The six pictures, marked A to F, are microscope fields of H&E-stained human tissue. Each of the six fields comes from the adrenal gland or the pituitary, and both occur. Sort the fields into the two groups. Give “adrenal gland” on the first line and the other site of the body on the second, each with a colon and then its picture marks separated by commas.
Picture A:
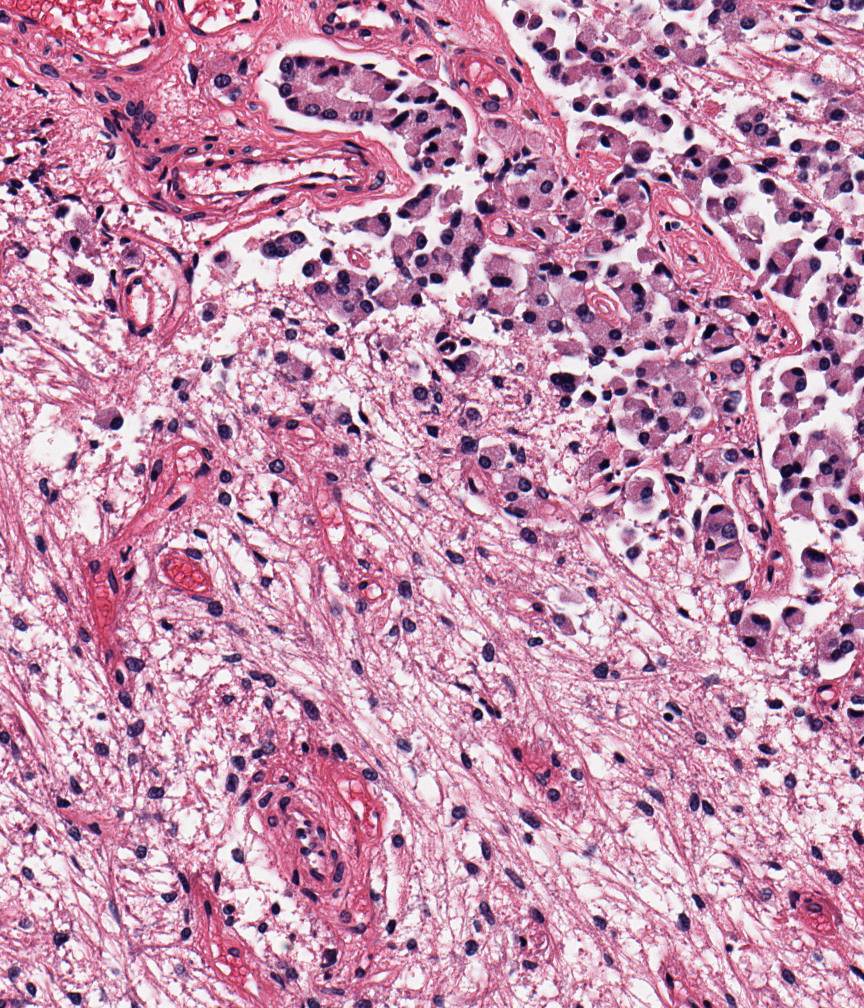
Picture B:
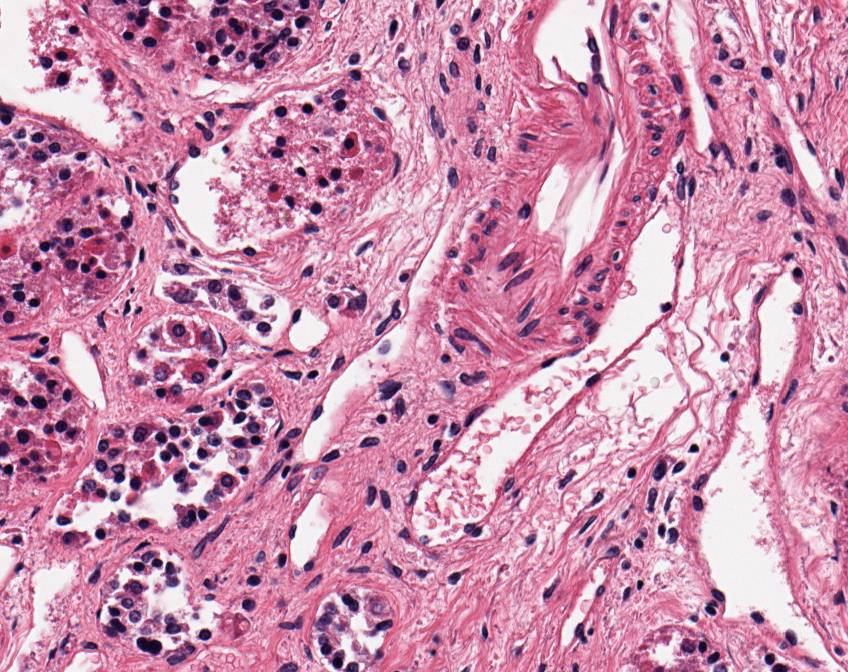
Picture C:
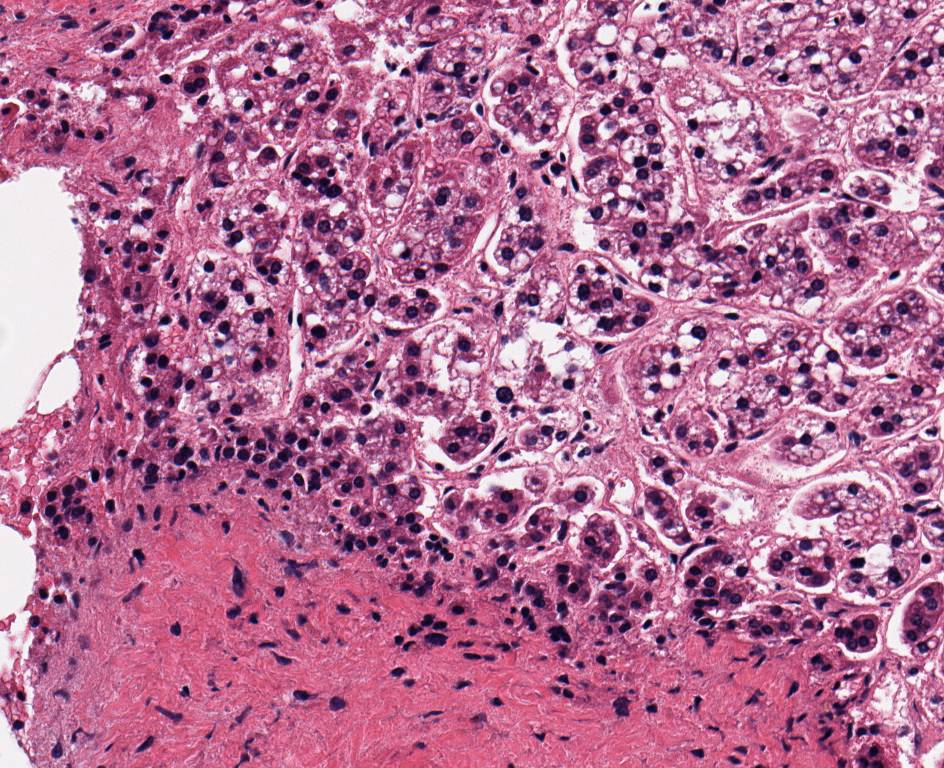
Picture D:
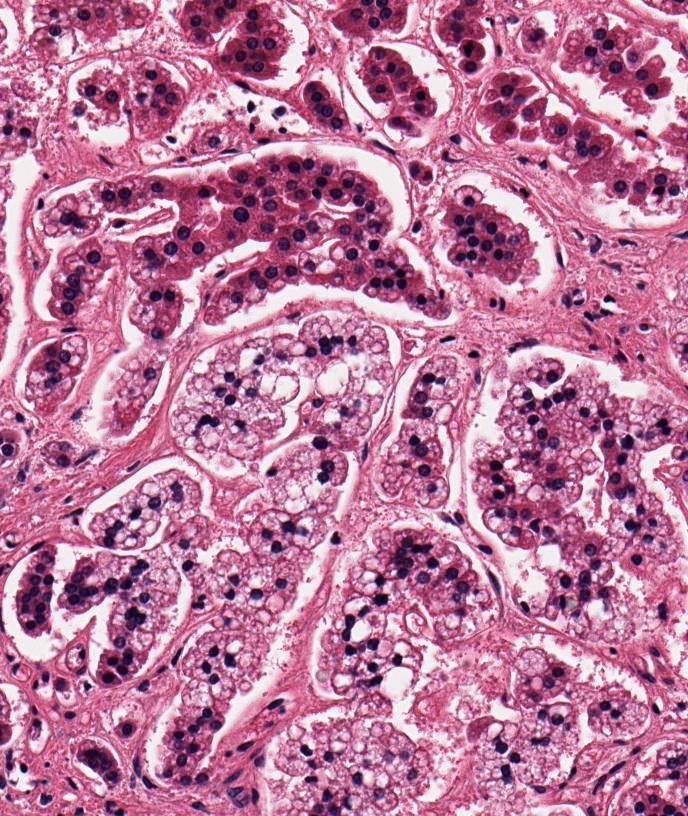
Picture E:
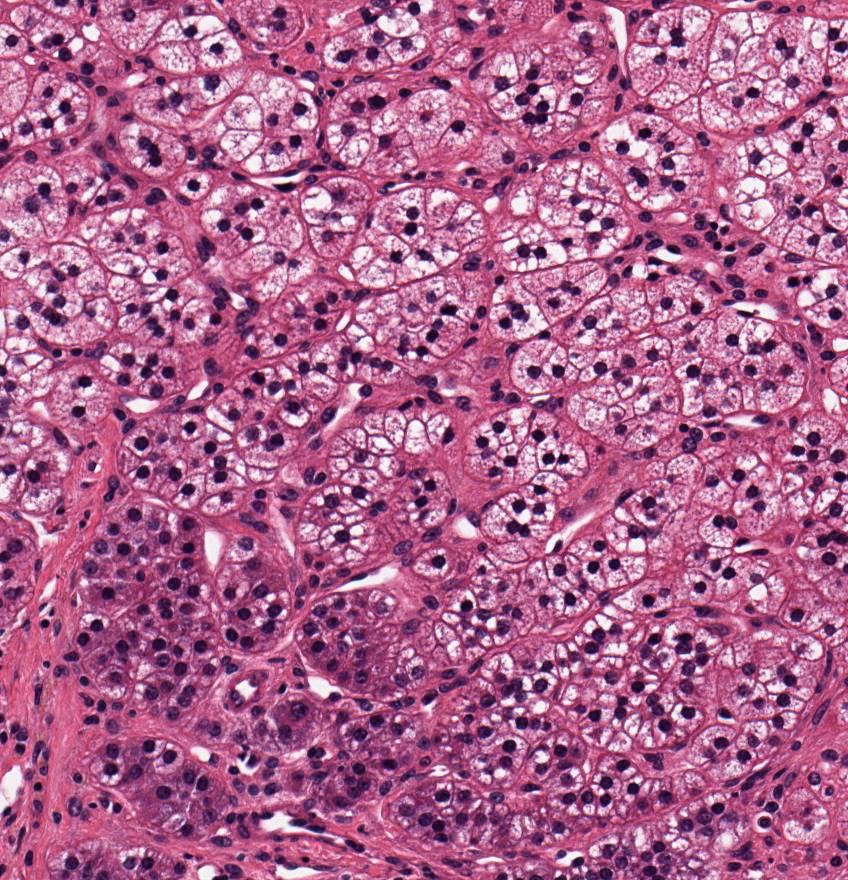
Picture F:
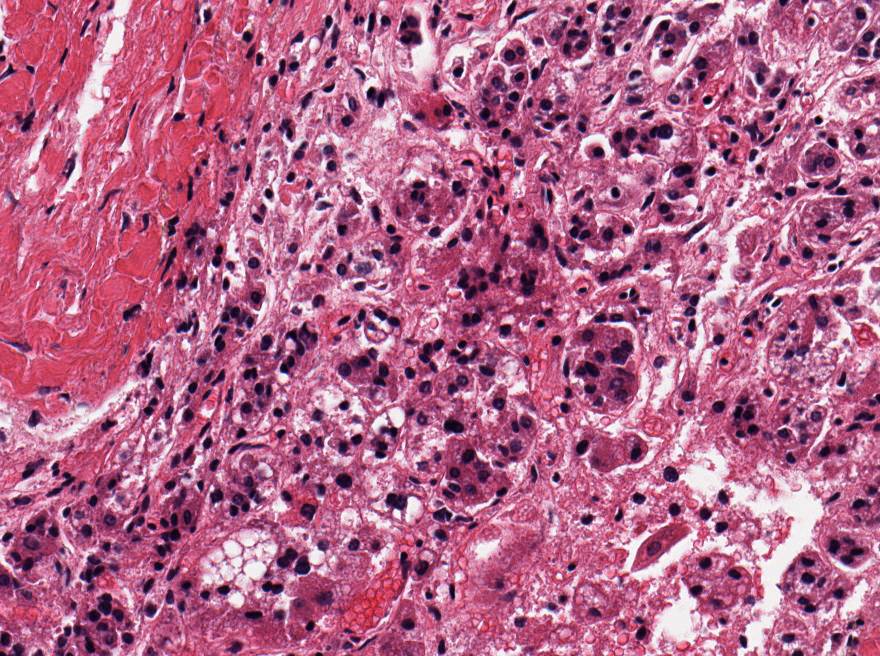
adrenal gland: C, D, E, F
pituitary: A, B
